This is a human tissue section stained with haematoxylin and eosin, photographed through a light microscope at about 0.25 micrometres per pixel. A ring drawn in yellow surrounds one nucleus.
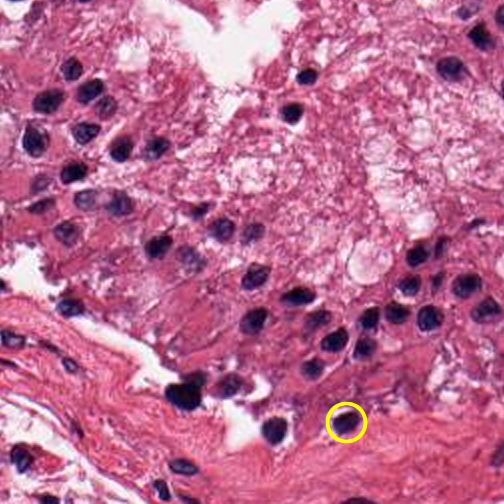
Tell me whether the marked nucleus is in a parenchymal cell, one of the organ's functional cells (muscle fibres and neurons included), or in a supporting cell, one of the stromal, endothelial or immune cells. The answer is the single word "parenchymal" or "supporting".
parenchymal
